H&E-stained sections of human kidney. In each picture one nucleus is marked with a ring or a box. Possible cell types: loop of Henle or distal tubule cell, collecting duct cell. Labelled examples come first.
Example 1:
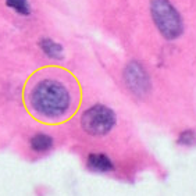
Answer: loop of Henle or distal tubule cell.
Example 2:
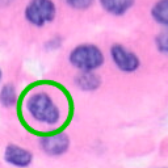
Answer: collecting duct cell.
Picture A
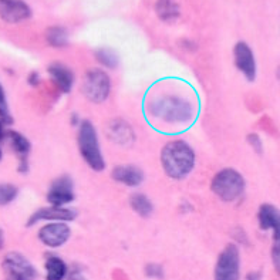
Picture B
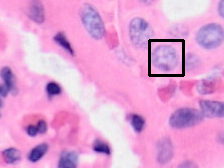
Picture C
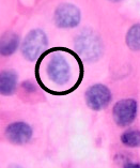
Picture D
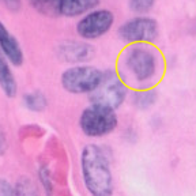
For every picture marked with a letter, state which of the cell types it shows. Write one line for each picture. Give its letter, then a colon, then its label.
A: loop of Henle or distal tubule cell.
B: collecting duct cell.
C: collecting duct cell.
D: collecting duct cell.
